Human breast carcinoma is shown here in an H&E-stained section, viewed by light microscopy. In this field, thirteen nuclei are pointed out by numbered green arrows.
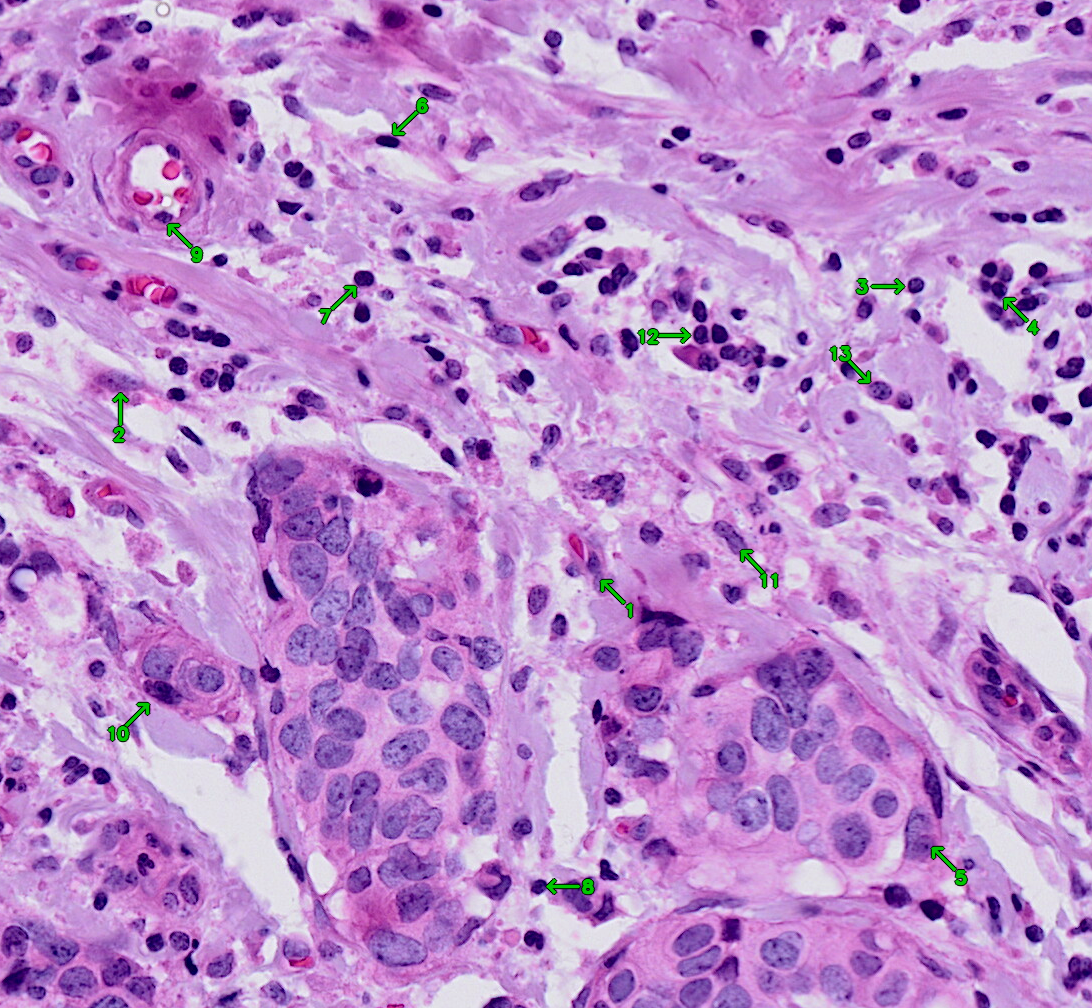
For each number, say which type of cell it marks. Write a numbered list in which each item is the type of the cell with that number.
1. endothelial cell
2. fibroblast
3. lymphocyte
4. lymphocyte
5. carcinoma cell
6. lymphocyte
7. lymphocyte
8. lymphocyte
9. endothelial cell
10. carcinoma cell
11. macrophage, monocyte or dendritic cell
12. lymphocyte
13. mast cell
